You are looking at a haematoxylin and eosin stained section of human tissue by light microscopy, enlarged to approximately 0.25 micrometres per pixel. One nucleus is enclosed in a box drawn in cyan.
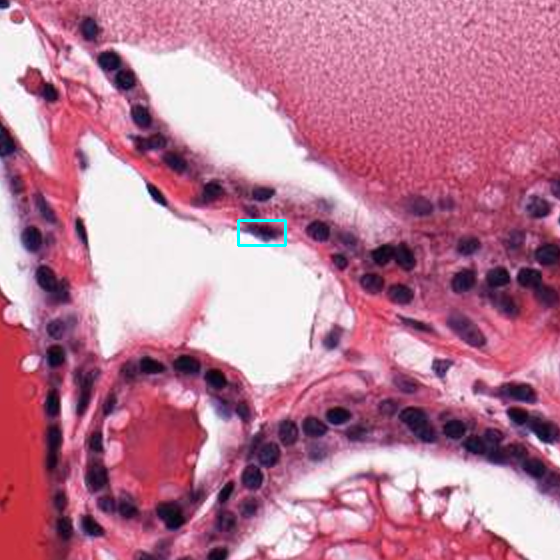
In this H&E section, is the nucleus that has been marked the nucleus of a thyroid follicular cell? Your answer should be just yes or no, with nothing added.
no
